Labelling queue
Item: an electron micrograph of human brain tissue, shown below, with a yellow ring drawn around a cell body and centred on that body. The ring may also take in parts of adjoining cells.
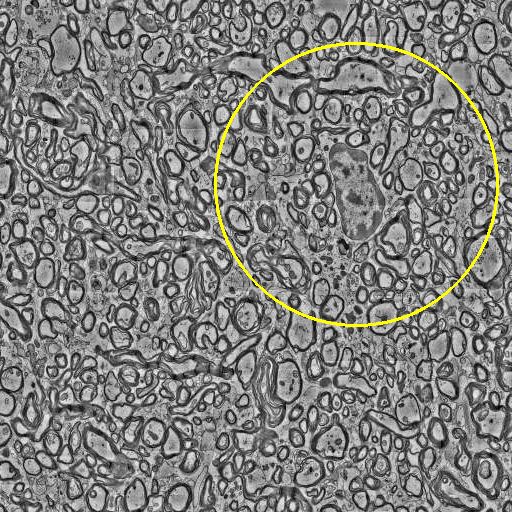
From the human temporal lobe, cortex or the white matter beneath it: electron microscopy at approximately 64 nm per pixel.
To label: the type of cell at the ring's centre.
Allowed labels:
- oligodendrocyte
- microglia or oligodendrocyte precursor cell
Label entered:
microglia or oligodendrocyte precursor cell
